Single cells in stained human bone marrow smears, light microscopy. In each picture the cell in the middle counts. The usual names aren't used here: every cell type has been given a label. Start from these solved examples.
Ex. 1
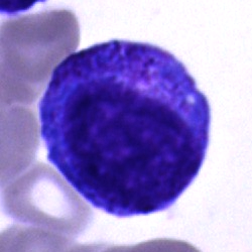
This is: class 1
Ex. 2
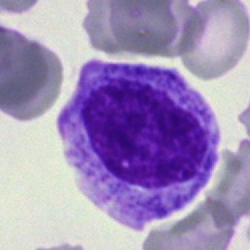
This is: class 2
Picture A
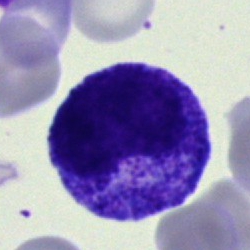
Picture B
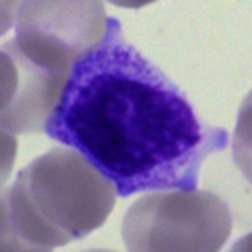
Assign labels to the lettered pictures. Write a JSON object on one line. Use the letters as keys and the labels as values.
{"A": "class 1", "B": "class 2"}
